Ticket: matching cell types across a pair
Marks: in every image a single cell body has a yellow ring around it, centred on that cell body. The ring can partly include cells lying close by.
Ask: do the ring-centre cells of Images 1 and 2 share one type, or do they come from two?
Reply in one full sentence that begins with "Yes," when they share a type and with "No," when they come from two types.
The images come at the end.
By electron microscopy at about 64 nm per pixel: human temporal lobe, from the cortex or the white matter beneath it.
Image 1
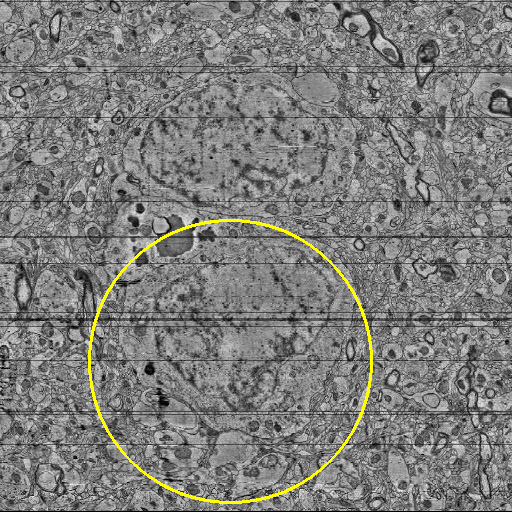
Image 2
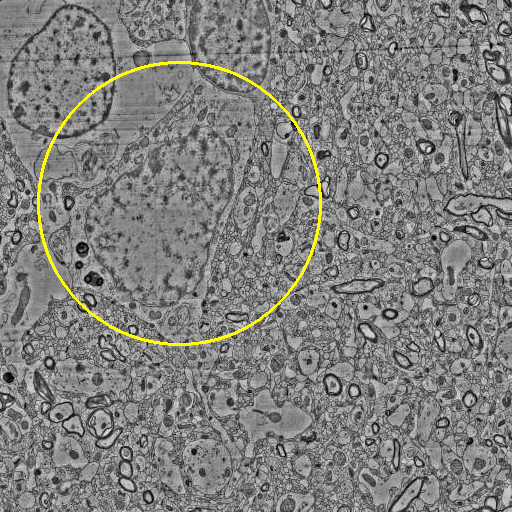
Yes, the cells in the centres of the rings in Image 1 and Image 2 share one type.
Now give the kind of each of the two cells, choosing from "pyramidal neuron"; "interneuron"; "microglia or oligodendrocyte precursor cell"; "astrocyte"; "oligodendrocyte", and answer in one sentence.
Each of the two rings is centred on an interneuron.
